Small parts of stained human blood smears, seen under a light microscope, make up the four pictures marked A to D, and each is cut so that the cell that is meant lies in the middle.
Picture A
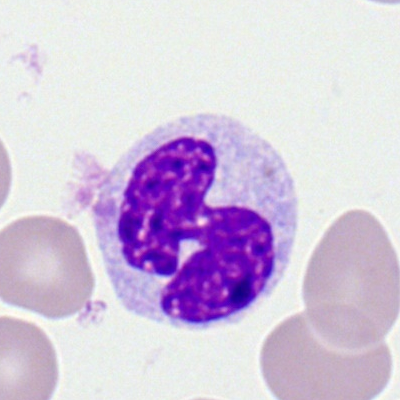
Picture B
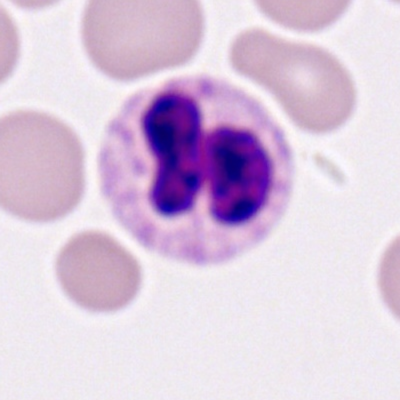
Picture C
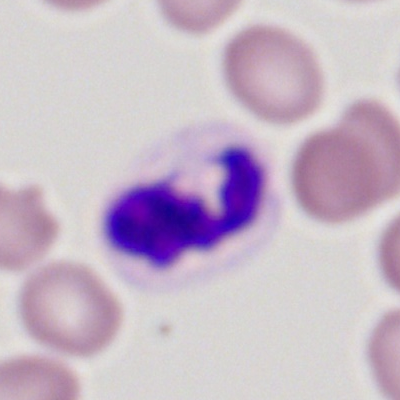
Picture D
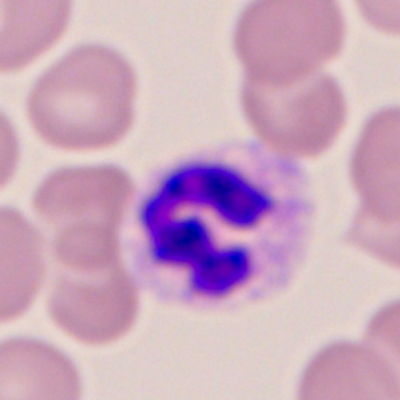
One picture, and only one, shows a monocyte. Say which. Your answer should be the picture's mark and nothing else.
A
